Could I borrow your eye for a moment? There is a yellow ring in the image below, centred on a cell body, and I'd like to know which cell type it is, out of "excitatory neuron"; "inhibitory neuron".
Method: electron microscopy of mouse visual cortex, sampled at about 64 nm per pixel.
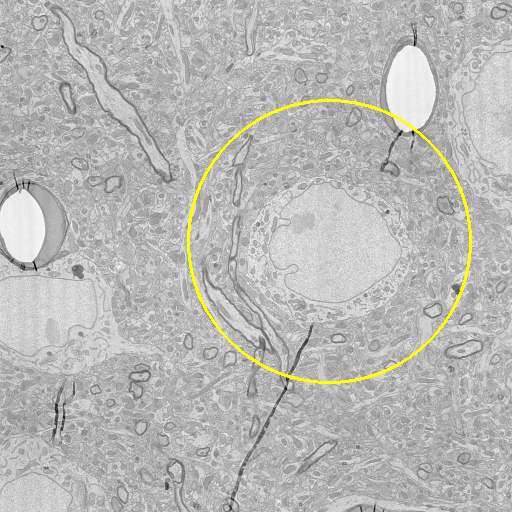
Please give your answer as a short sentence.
The cell body at the centre is that of an inhibitory neuron.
